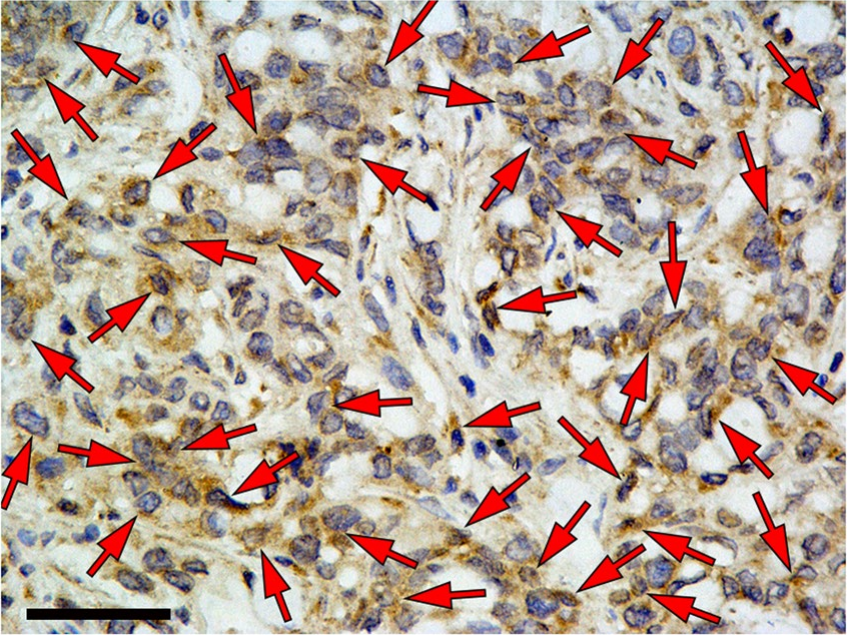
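Brown granular staining lies outside the nuclei, at the borders and in the cytoplasm of many tumor cells, while the nuclei remain blue. Small clear spaces lie scattered among the cells.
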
